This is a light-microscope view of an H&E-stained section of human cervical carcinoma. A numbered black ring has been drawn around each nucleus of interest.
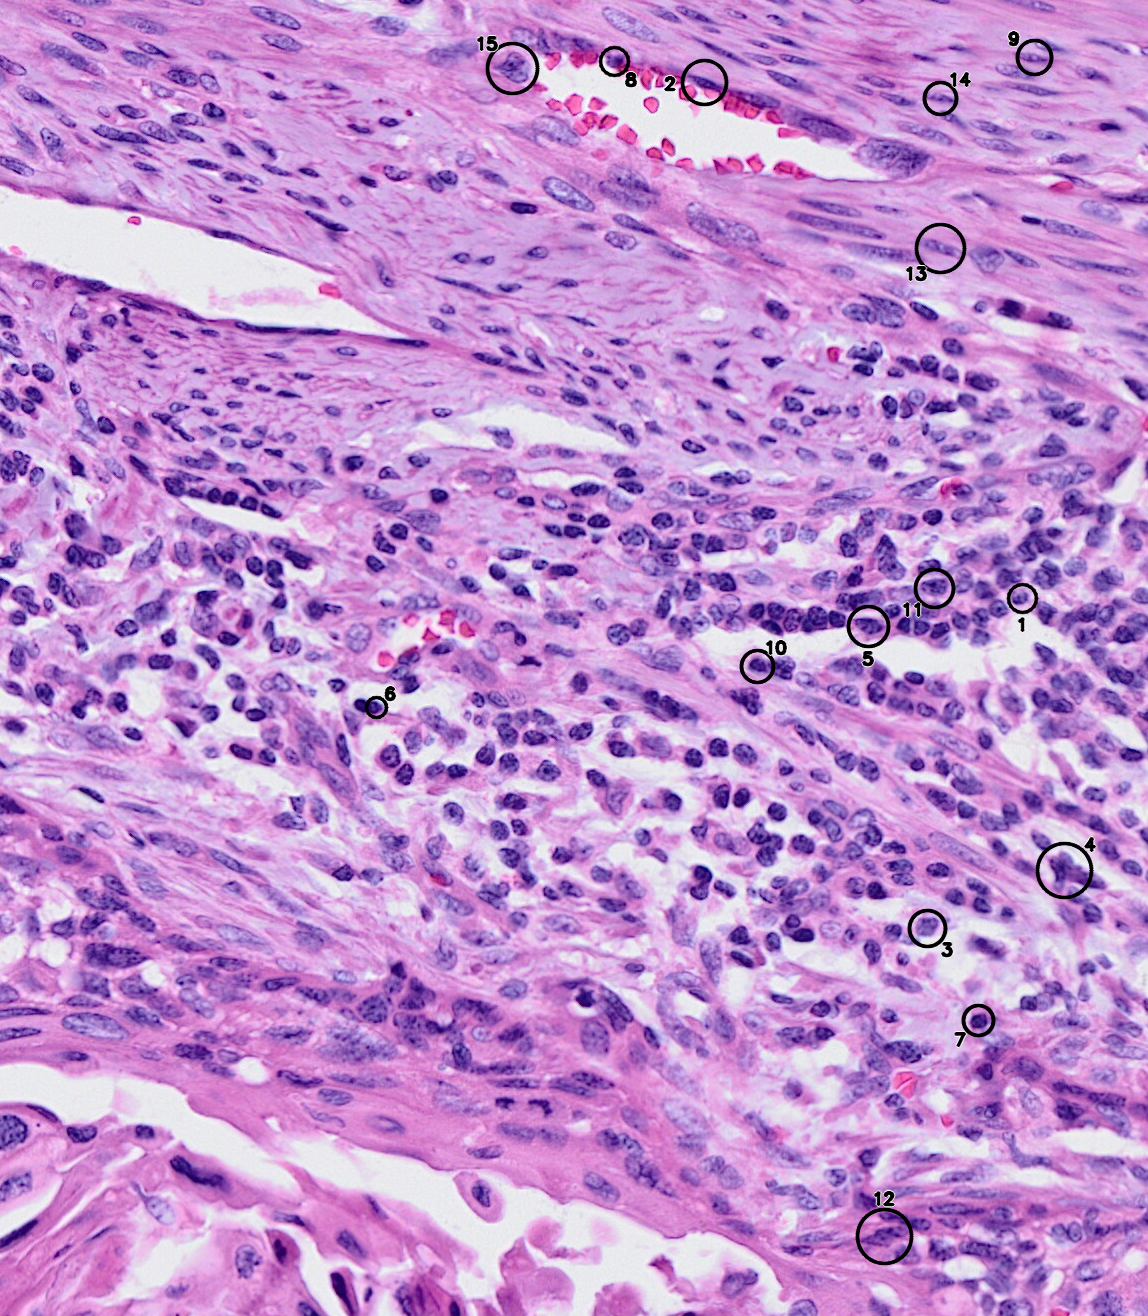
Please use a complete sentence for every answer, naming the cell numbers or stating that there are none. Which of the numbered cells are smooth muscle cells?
The numbers 9, 13 and 14 refer to cells that are smooth muscle cells.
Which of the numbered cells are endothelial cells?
Cells numbered 2, 8 and 15 belong to the group of endothelial cells.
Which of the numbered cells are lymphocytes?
The cells referred to by numbers 1, 3, 4, 5, 6, 7, 10 and 11 are lymphocytes.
